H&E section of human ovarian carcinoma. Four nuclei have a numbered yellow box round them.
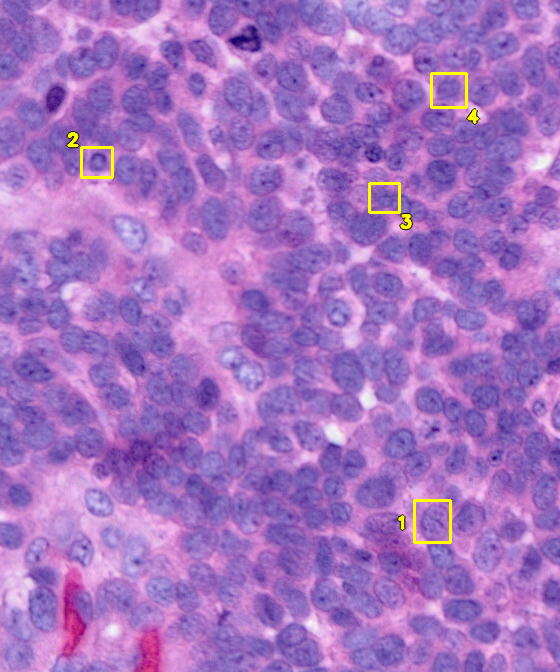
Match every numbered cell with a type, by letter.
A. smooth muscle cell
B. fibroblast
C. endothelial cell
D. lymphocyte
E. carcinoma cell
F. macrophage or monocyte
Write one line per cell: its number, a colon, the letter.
1: E
2: F
3: E
4: E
